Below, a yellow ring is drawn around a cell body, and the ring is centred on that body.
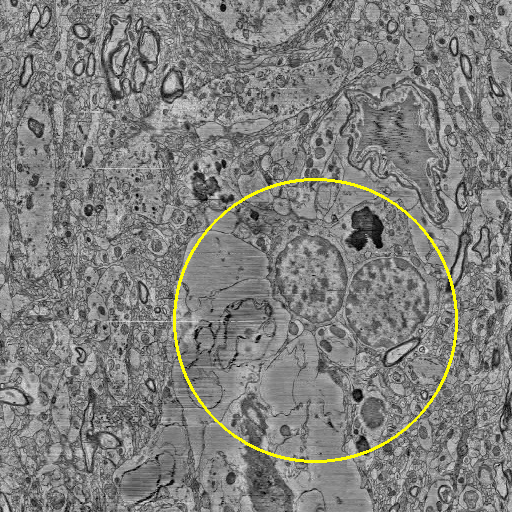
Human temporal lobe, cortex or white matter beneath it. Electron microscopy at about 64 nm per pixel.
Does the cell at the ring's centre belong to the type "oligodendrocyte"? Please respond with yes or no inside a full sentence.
Yes, the centred cell inside the ring shown in the picture is of this type.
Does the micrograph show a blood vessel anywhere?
Yes.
